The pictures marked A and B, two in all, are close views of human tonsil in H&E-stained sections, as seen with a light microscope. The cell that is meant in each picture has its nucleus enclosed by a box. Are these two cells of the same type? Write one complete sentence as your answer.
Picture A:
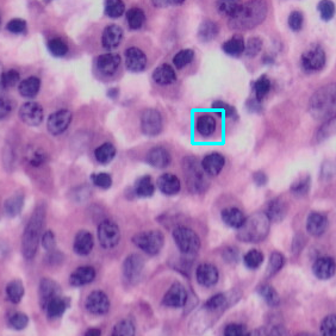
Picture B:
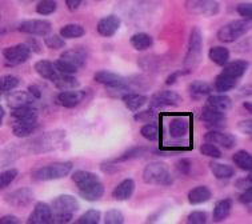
No. Picture A shows a plasma cell, but picture B shows a small lymphocyte.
